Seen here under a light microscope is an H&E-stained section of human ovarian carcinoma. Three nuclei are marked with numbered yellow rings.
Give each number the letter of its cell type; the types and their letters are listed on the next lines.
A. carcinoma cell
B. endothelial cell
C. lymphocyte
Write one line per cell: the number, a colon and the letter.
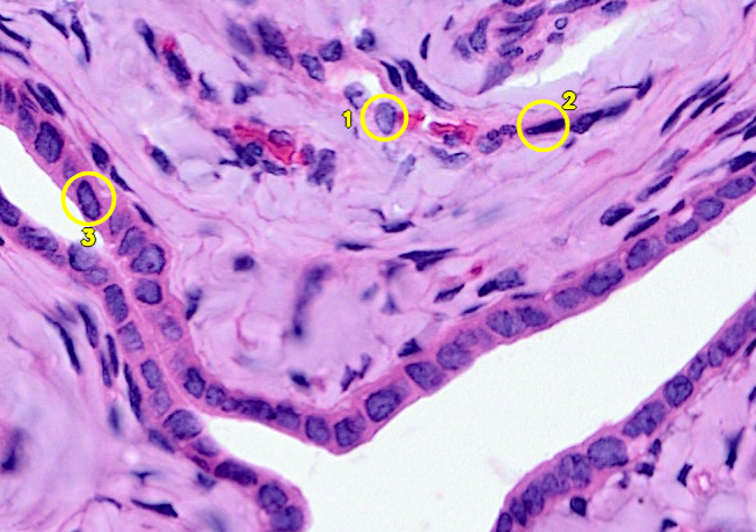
1: B
2: B
3: A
